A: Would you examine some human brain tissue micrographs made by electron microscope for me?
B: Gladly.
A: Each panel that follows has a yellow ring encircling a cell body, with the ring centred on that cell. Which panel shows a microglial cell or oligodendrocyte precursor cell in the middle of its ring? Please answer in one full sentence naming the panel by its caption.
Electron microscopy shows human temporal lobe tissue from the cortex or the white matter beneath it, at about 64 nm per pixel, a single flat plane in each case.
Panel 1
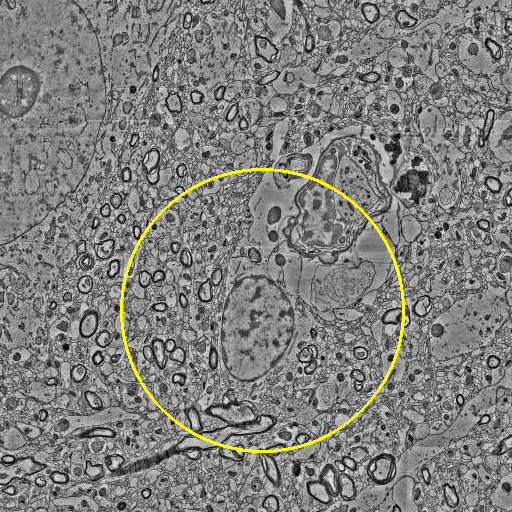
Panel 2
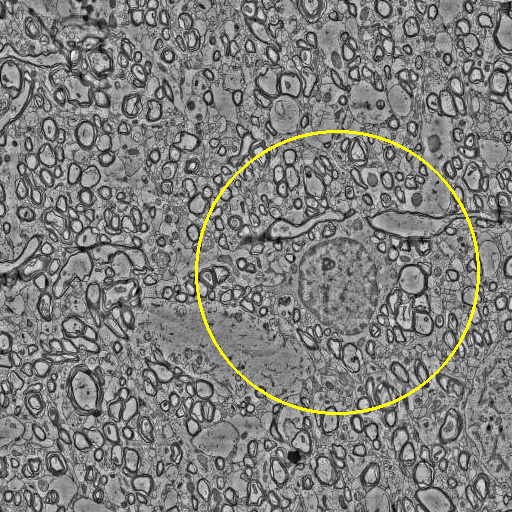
Panel 1 is where the ring sits centred on the requested cell.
